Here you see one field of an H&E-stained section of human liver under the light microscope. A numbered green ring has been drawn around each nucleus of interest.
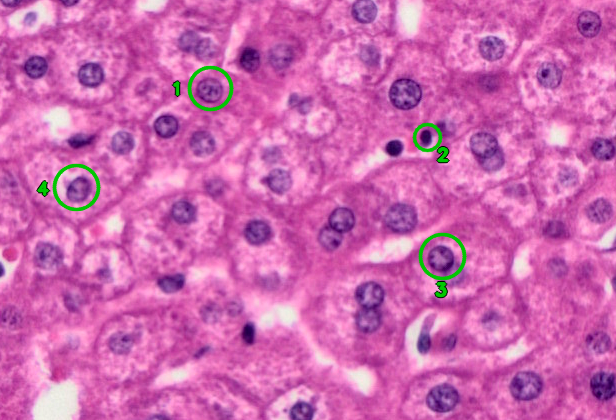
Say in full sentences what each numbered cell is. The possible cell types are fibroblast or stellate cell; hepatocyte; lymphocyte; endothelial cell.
Cell 1 is a hepatocyte, cell 2 is a lymphocyte, cell 3 is a hepatocyte and cell 4 is a hepatocyte.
